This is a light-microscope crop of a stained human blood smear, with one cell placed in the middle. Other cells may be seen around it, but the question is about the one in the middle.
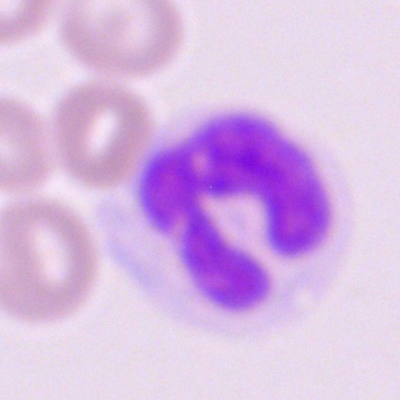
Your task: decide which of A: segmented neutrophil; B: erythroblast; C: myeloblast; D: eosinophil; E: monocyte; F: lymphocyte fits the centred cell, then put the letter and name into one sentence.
The cell right in the middle is a monocyte, so option E is the one.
